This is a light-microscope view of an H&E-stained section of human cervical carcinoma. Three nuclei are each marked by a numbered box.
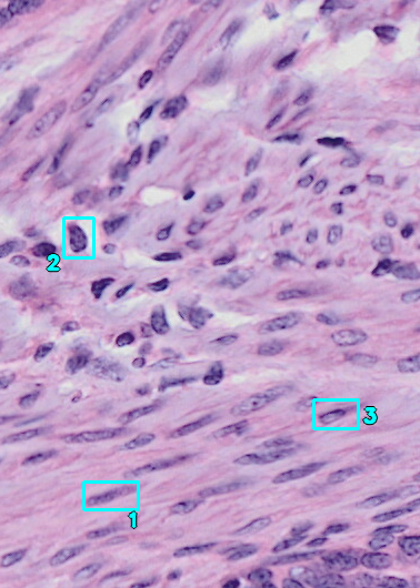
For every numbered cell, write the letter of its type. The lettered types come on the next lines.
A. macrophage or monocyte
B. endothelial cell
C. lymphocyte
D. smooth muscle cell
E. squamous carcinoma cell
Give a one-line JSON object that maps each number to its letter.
{"1": "D", "2": "C", "3": "D"}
